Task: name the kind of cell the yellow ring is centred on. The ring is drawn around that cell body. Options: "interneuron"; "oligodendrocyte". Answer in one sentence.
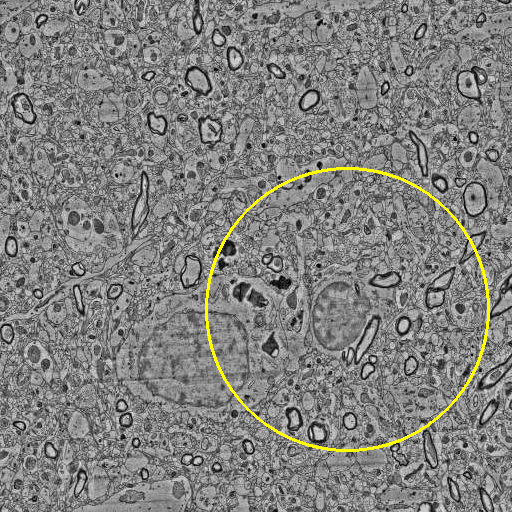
This cell body belongs to an oligodendrocyte.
